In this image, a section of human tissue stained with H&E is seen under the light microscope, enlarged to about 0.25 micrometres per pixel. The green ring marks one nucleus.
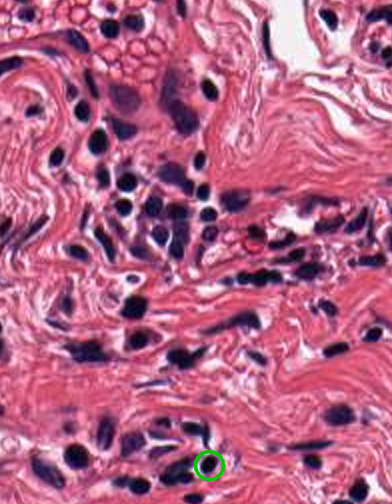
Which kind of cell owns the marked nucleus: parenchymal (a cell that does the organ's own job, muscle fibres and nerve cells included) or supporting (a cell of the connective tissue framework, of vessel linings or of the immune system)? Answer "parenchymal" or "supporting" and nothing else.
supporting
